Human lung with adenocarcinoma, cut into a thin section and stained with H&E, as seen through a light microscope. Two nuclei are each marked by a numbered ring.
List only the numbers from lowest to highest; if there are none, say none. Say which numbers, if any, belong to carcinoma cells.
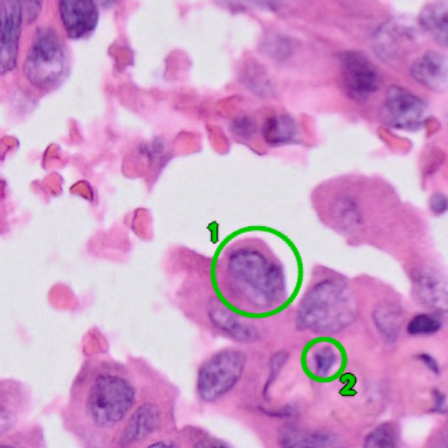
1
